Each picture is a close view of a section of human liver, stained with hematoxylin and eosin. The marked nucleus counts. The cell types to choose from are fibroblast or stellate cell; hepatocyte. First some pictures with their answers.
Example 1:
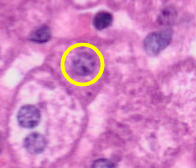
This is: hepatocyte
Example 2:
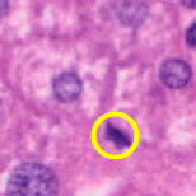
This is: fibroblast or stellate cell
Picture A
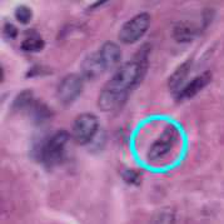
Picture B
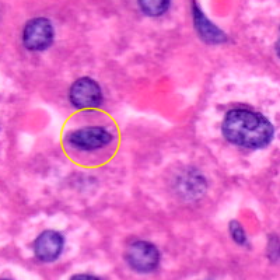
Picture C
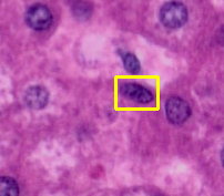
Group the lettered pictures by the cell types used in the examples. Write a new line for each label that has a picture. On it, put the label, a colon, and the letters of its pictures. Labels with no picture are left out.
fibroblast or stellate cell: A, B, C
